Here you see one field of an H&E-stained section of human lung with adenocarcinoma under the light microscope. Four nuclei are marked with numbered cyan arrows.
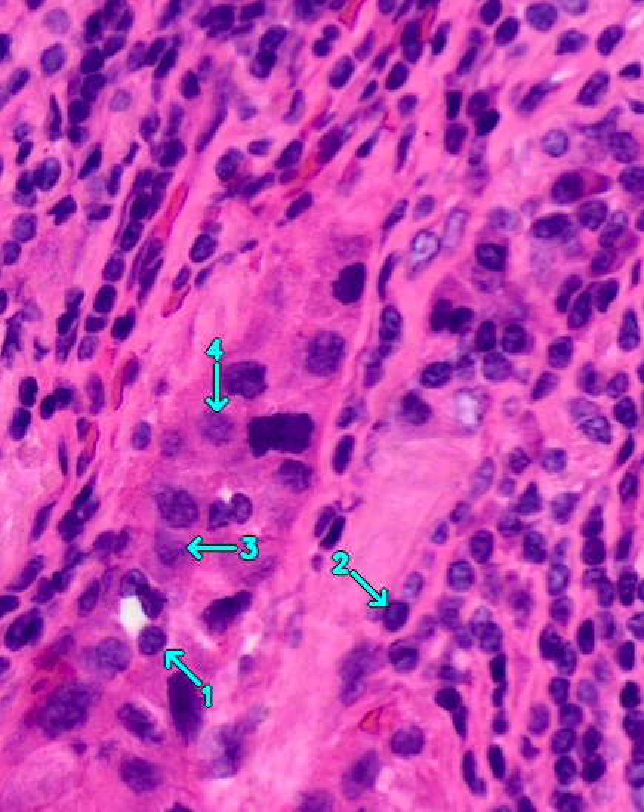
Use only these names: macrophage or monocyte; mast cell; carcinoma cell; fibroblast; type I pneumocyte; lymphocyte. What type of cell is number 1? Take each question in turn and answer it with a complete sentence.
The expected answer is that cell 1 is a lymphocyte.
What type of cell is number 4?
Identified by the number 4, the cell is a carcinoma cell.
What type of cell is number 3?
It is as a carcinoma cell that the cell numbered 3 is identified.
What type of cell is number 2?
Belonging to a lymphocyte is the nucleus that carries the number 2.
